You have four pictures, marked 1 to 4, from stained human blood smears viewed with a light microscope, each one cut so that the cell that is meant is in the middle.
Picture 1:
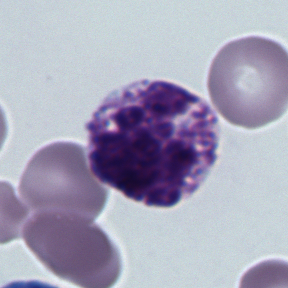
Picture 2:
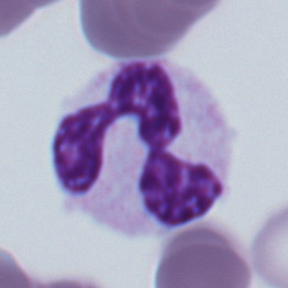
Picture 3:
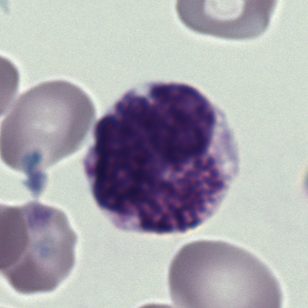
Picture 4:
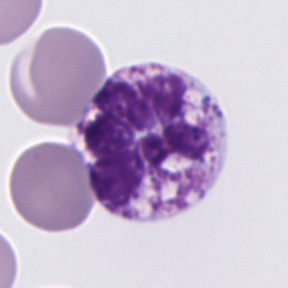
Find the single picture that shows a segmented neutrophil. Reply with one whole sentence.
The cell in picture 2 is the segmented neutrophil.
